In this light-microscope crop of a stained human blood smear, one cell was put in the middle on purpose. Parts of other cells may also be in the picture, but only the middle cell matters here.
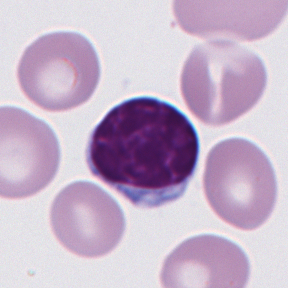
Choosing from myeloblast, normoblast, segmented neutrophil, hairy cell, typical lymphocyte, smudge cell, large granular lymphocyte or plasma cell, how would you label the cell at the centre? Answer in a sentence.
At the center of the crop sits a typical lymphocyte.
